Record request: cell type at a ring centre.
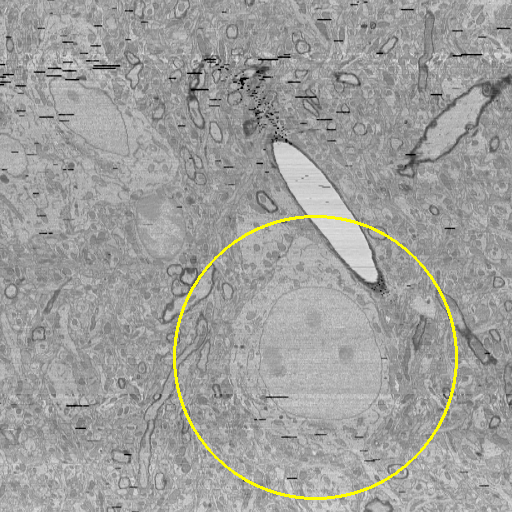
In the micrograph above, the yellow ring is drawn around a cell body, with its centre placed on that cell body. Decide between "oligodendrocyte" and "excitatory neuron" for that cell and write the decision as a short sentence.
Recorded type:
The cell centred in the yellow ring is an excitatory neuron.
